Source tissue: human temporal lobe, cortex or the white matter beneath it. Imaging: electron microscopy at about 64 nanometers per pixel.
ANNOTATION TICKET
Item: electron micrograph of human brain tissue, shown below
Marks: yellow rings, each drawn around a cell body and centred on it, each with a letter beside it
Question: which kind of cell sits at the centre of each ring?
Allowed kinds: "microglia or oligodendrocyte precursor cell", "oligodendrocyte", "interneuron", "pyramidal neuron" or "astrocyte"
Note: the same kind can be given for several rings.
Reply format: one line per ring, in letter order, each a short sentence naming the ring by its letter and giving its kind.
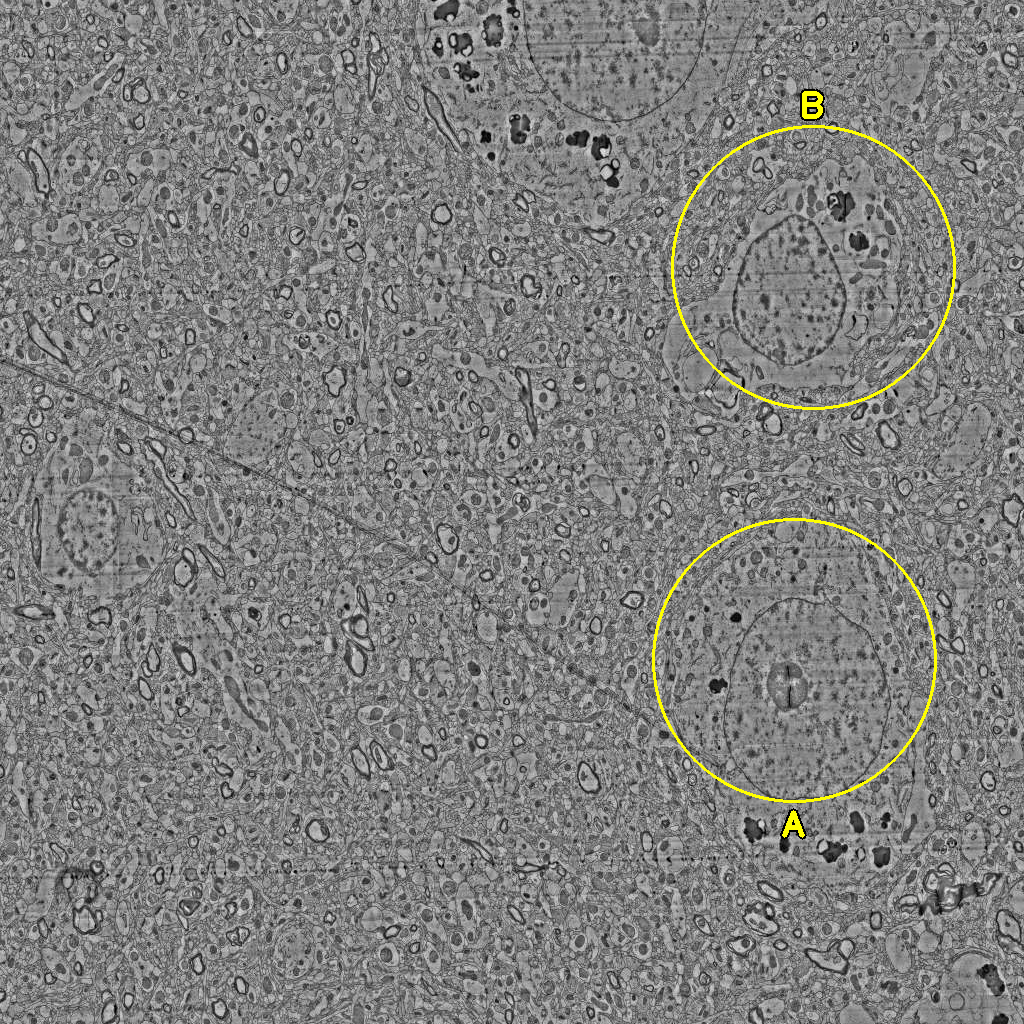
The cell at the centre of ring A is a pyramidal neuron.
The cell at the centre of ring B is an astrocyte.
